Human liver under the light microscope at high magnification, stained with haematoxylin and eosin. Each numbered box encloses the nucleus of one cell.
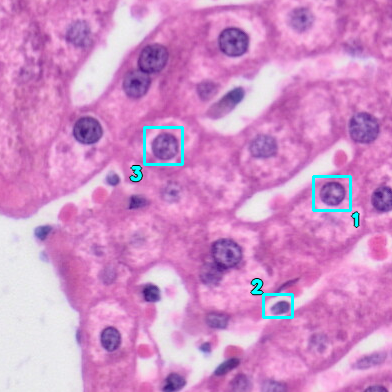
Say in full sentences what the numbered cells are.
Cell 1 is a hepatocyte, cell 2 is a lymphocyte and cell 3 is a hepatocyte.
